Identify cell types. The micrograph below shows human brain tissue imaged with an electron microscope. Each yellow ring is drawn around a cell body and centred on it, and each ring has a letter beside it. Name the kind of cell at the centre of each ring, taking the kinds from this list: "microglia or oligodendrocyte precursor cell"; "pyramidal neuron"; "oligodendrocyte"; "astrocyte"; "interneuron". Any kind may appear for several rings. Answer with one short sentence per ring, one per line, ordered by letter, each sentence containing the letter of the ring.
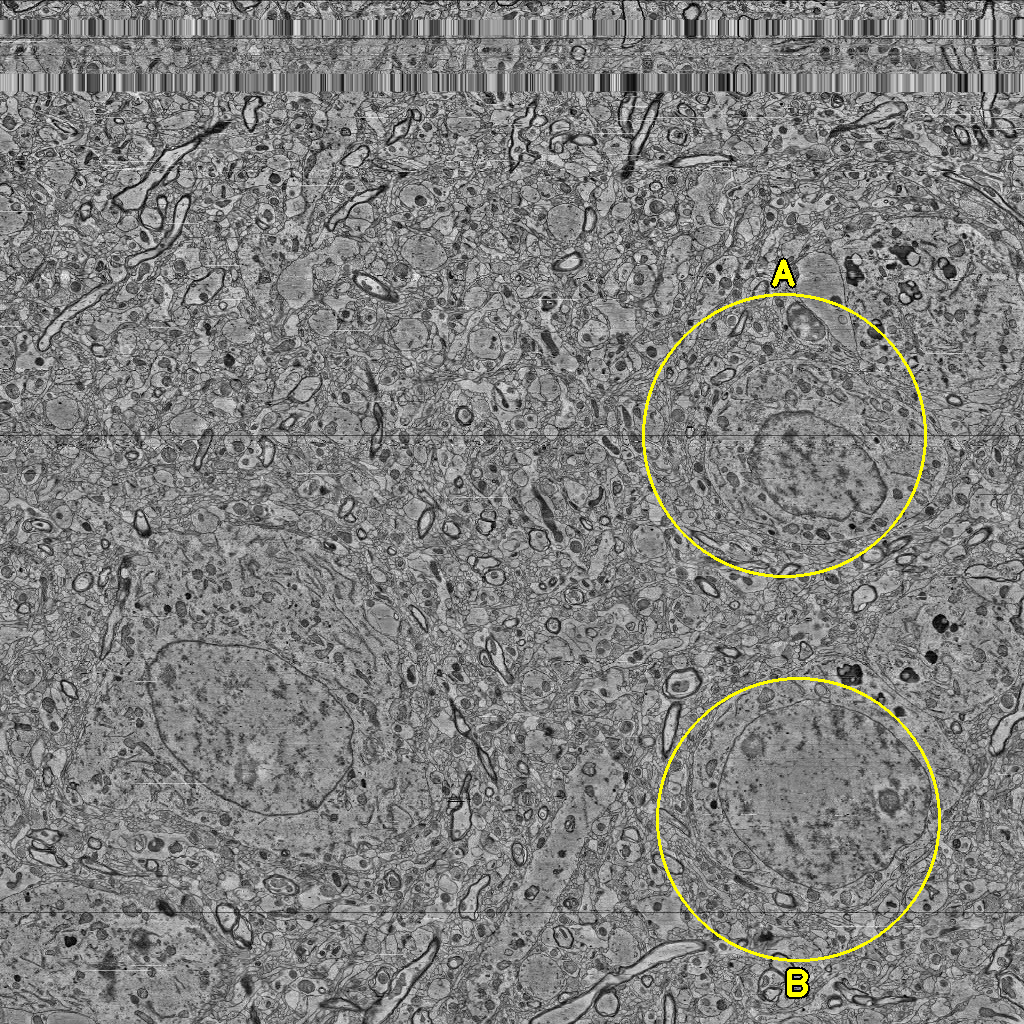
Ring A marks an interneuron.
Ring B marks a pyramidal neuron.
